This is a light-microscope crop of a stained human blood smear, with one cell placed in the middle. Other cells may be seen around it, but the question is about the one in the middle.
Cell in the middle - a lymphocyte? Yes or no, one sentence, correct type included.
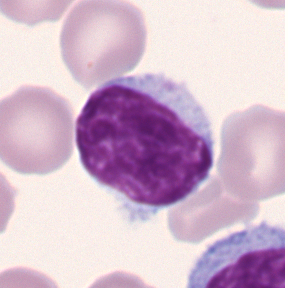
Yes, as for the central cell, it is a lymphocyte.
